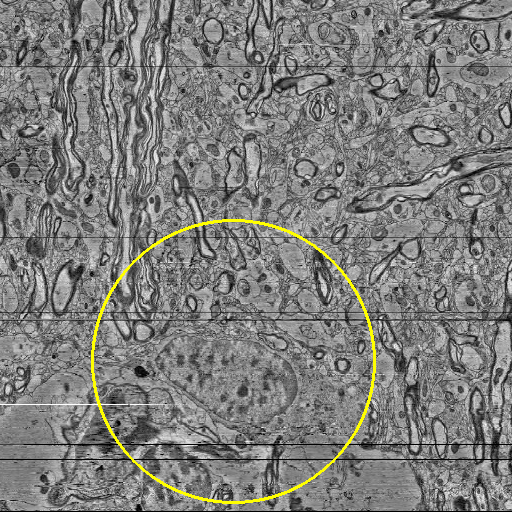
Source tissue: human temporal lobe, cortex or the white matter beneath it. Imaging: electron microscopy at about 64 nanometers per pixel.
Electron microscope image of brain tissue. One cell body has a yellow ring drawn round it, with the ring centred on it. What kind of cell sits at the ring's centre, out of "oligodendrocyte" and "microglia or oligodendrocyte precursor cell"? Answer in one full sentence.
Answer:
It is an oligodendrocyte whose cell body sits at the centre of the yellow ring.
